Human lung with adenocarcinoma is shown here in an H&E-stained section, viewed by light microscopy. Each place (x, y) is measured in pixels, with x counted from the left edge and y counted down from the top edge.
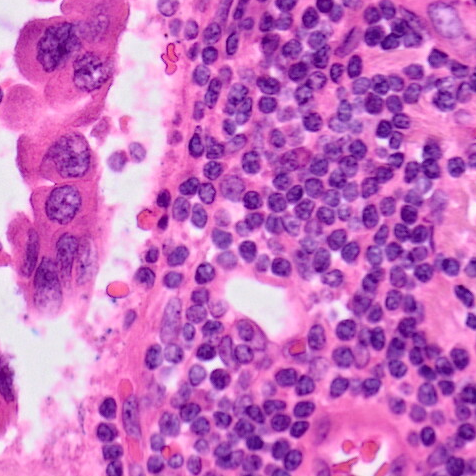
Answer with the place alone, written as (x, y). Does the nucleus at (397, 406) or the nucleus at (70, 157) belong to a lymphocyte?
(397, 406)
